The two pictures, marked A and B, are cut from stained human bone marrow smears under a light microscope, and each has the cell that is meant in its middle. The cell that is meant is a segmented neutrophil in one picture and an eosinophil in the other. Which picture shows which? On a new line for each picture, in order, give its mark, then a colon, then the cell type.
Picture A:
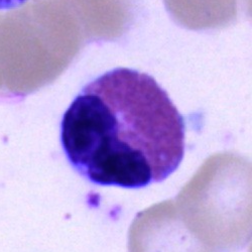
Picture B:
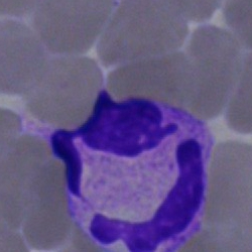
A: eosinophil
B: segmented neutrophil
